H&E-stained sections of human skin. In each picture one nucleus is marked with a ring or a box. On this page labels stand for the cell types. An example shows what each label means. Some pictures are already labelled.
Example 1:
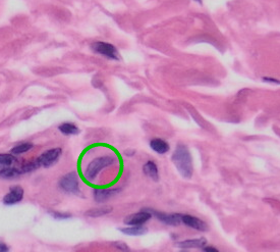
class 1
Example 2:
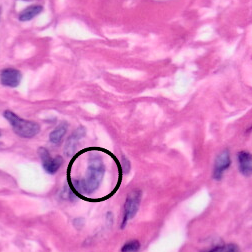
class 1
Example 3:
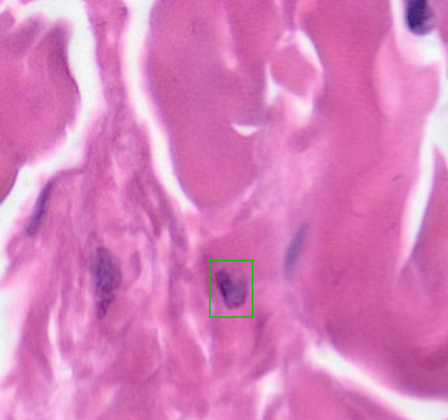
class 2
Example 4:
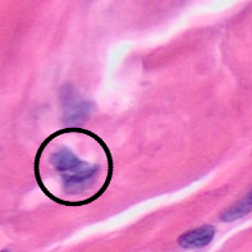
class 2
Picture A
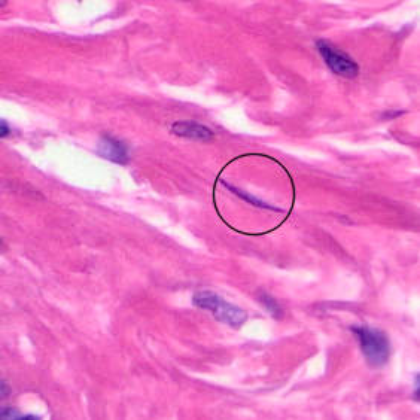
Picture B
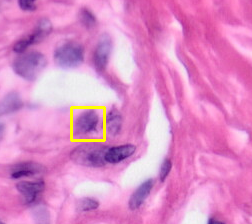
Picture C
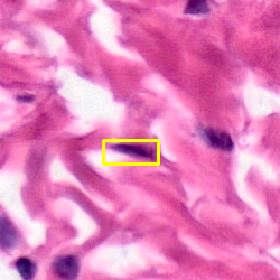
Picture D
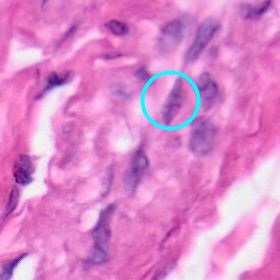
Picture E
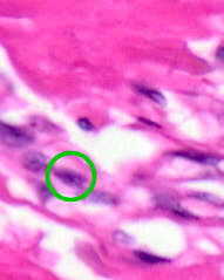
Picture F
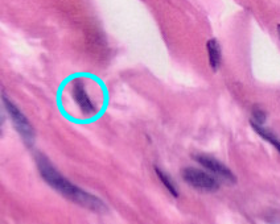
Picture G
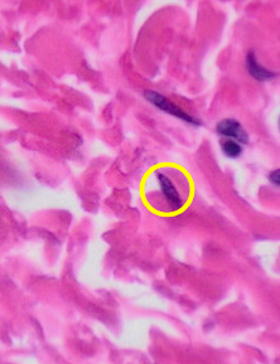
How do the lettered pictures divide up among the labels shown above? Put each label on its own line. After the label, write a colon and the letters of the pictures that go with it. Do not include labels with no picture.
class 1: B, D, E
class 2: A, C, F, G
